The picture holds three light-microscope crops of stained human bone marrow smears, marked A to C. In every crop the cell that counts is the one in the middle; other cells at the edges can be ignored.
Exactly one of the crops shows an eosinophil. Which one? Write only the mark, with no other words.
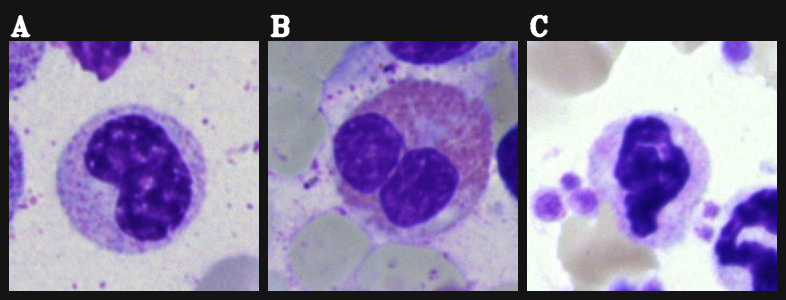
B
